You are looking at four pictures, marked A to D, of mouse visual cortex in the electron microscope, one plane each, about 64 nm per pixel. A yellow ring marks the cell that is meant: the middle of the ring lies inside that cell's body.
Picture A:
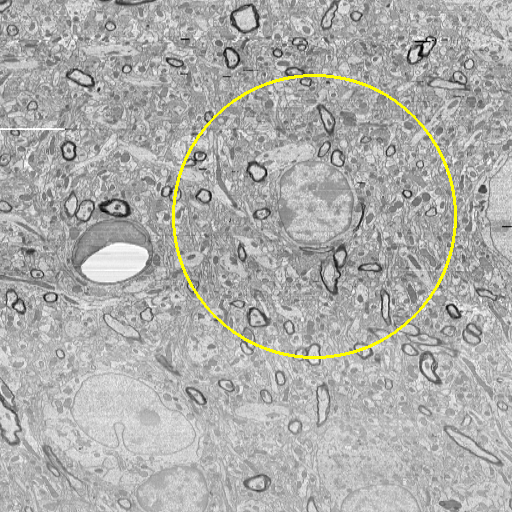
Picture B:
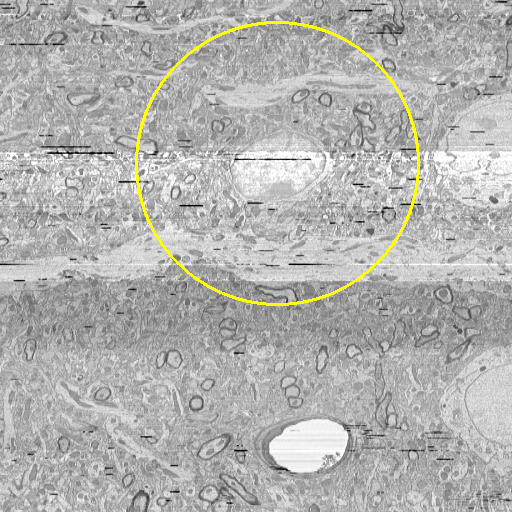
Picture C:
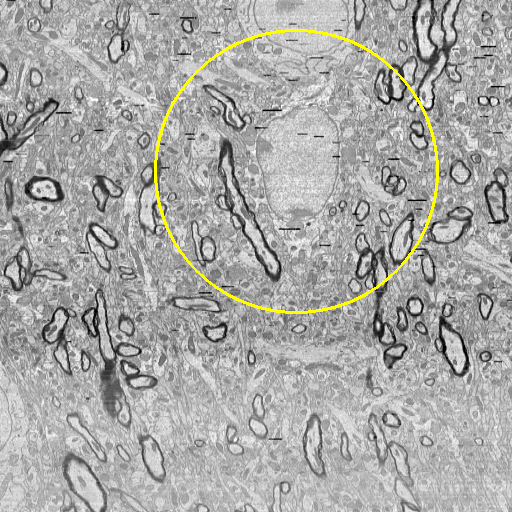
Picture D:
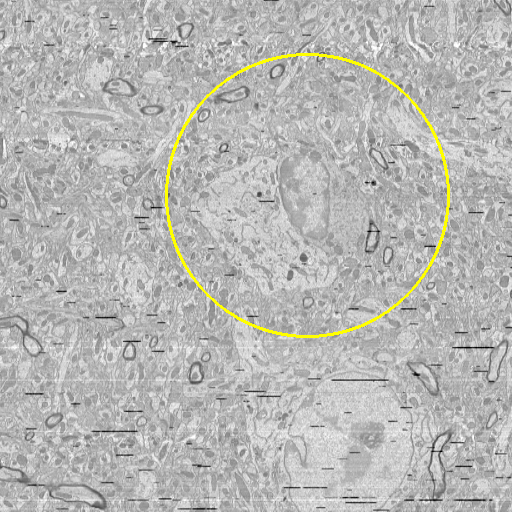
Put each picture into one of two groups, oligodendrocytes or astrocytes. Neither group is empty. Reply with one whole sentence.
Pictures A, B and D show oligodendrocytes; picture C shows an astrocyte.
